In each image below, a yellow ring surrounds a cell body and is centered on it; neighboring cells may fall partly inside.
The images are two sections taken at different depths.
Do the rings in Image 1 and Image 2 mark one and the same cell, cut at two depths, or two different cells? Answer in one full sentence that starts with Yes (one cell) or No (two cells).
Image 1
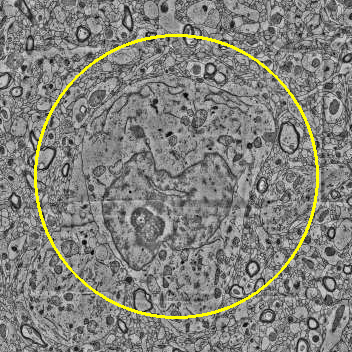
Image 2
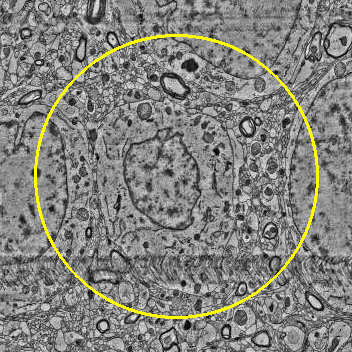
No, the yellow rings are placed on two separate cells.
